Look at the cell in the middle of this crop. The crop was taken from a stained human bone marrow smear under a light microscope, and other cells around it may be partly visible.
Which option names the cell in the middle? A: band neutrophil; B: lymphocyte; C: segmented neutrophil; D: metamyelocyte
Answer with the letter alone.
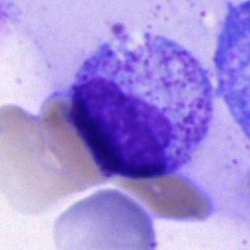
D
